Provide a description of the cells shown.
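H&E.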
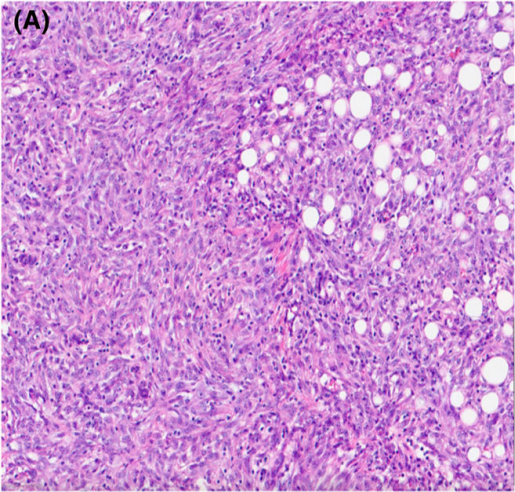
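A sarcomatous tumour made of densely packed spindle-shaped cells with elongated dark nuclei and pink cytoplasm, arranged in interlacing fascicles. On the right the tumour cells spread between round clear fat vacuoles of adipose tissue.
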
